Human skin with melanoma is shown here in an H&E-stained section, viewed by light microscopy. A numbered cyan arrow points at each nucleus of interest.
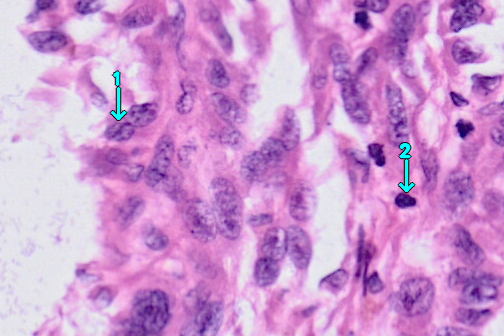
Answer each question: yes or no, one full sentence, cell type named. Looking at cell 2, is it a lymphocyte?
Yes, the cell labelled with number 2 is a lymphocyte.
